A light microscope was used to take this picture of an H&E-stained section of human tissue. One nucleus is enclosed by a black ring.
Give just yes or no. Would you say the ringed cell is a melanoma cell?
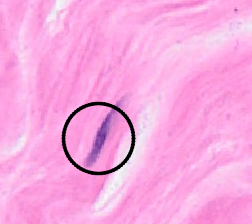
no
